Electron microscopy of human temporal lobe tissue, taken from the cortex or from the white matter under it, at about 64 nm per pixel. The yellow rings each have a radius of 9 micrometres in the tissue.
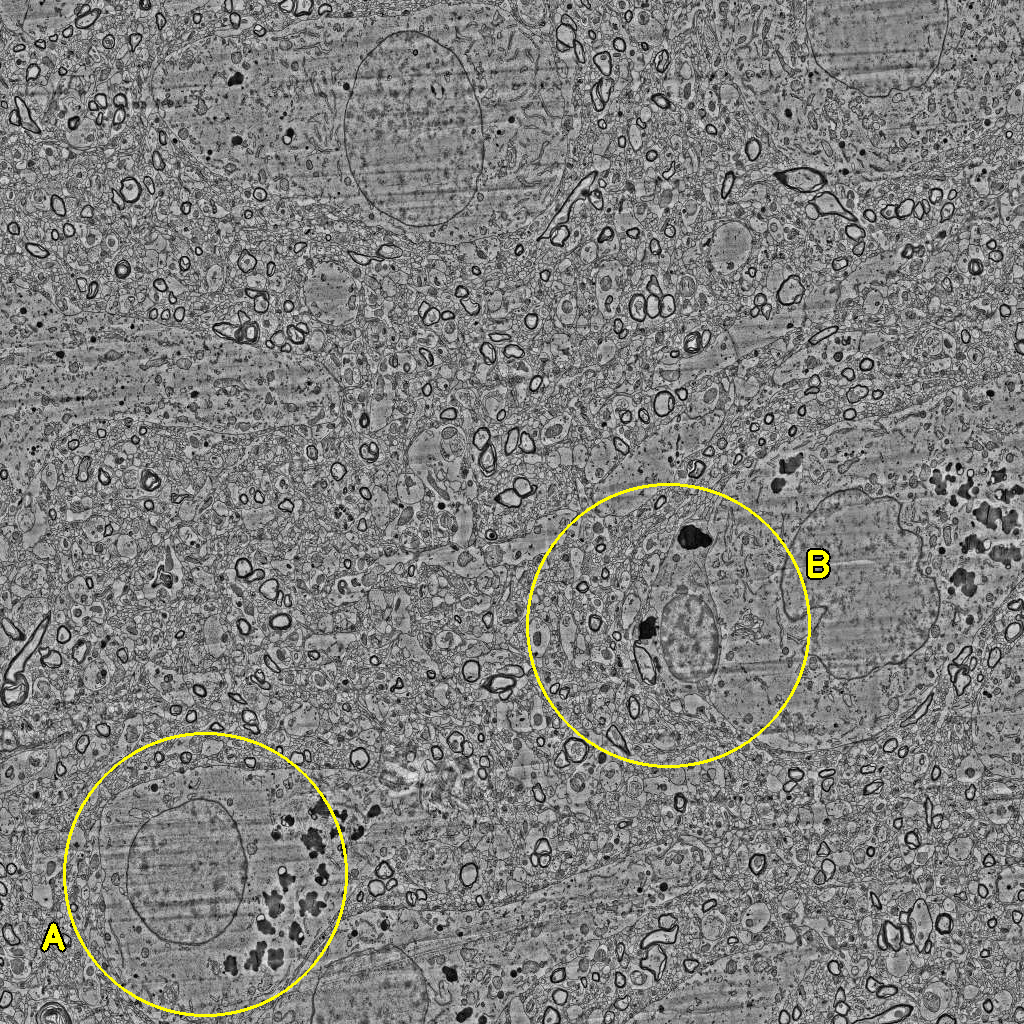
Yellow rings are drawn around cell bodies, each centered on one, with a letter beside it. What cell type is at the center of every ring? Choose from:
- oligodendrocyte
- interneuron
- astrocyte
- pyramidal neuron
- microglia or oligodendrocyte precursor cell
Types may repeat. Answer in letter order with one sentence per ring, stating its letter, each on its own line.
The cell at the center of ring A is a pyramidal neuron.
The cell at the center of ring B is an oligodendrocyte.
